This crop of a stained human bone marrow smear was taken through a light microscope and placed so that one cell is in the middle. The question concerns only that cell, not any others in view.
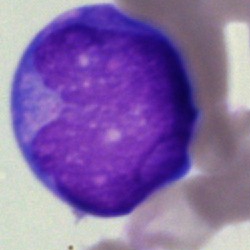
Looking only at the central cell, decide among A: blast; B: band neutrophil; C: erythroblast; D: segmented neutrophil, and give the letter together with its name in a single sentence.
The cell centred in the crop is a blast, and the correct option is thus A.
